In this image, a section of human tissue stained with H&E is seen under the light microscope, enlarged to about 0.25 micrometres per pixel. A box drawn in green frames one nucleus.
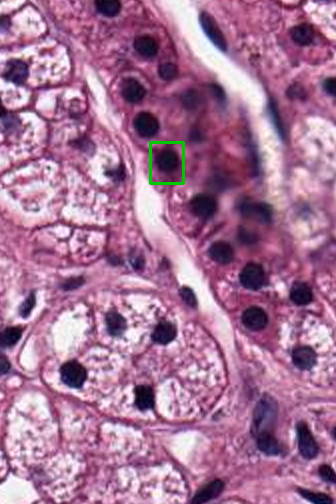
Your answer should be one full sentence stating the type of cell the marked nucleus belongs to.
In this picture, the marked nucleus belongs to an adrenal cortical cell.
